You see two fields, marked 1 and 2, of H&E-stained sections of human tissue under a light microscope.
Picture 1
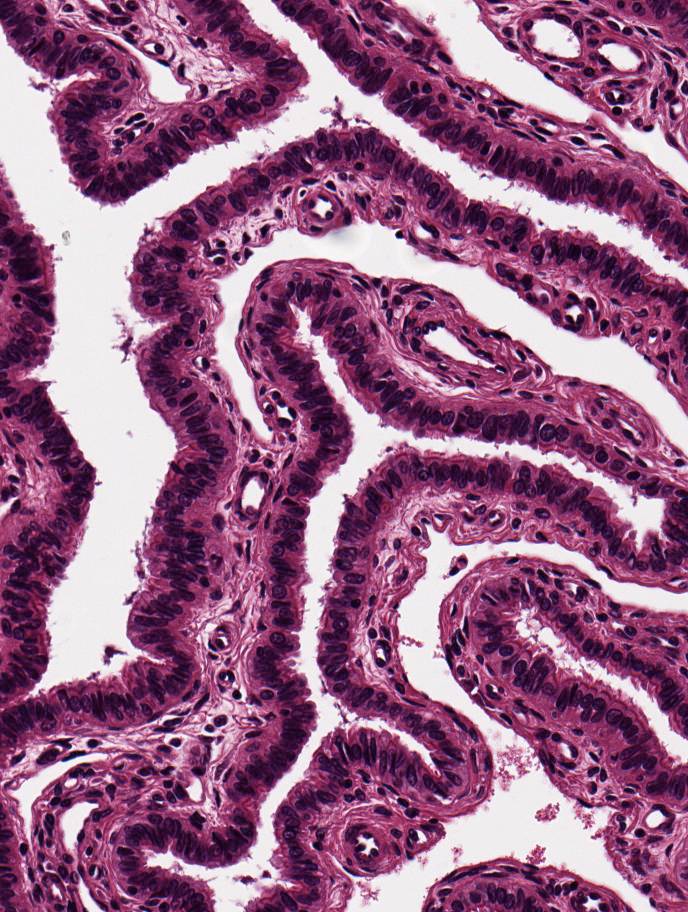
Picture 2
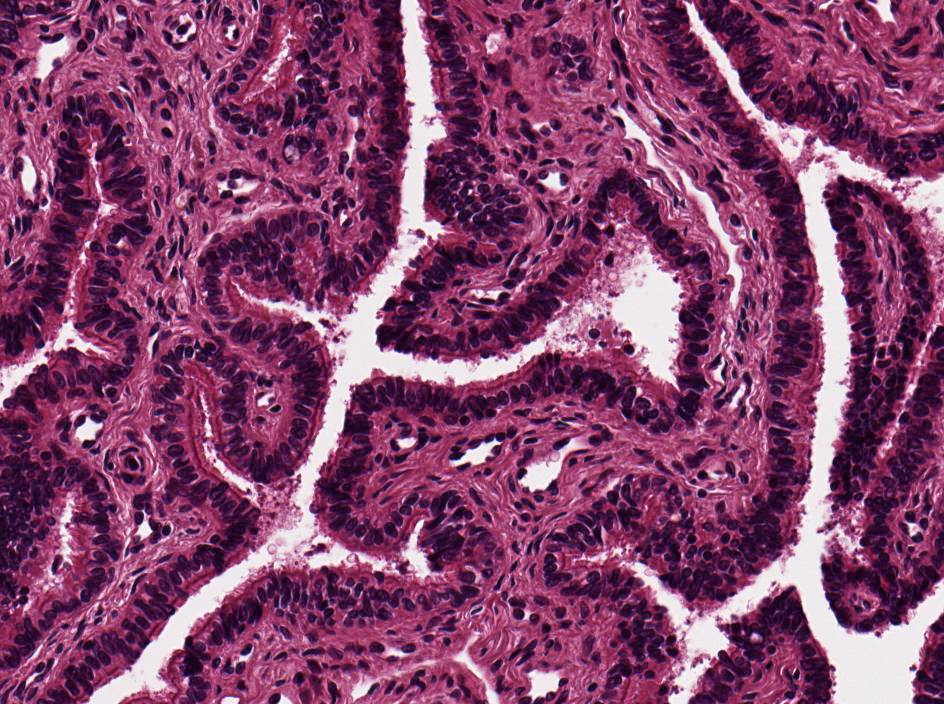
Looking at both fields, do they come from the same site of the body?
yes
